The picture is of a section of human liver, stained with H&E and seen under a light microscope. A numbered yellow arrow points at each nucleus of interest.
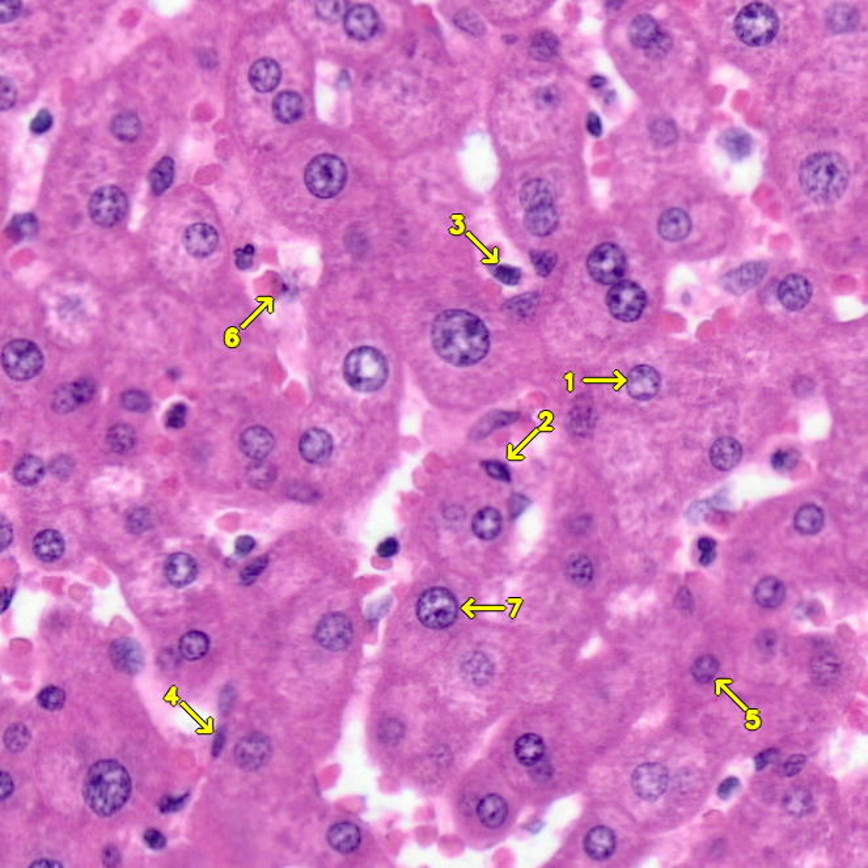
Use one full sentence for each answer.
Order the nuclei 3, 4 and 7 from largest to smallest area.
The nuclei rank 7, 3, 4, from largest to smallest.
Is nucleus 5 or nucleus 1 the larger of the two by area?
At about 1.5 times the area of nucleus 5, nucleus 1 is the larger of the two.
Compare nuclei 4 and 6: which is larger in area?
Number 6 is larger; its area is about 2 times that of number 4.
